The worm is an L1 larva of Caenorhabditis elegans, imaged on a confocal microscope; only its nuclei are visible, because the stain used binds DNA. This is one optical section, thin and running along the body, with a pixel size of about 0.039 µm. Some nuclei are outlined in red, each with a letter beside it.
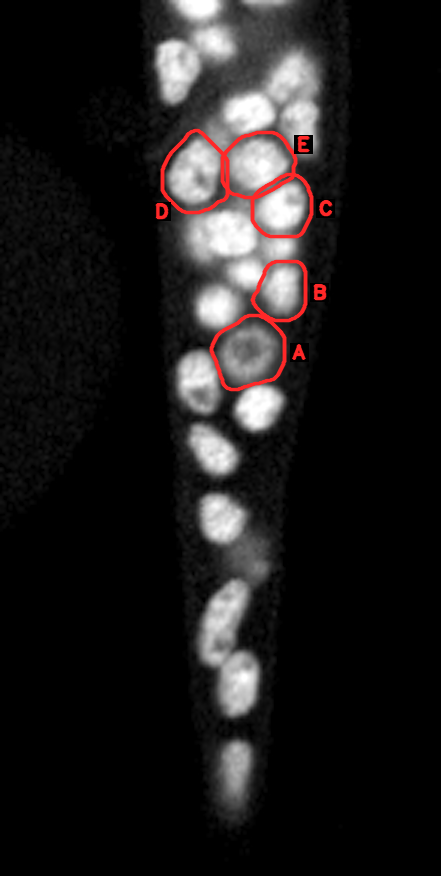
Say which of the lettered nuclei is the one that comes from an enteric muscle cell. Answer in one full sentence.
The nucleus of an enteric muscle cell is C.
